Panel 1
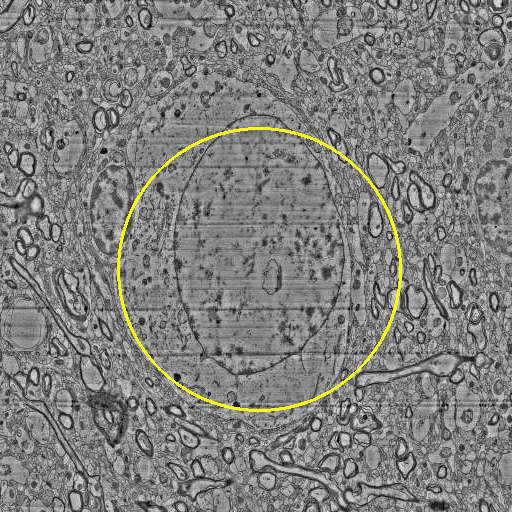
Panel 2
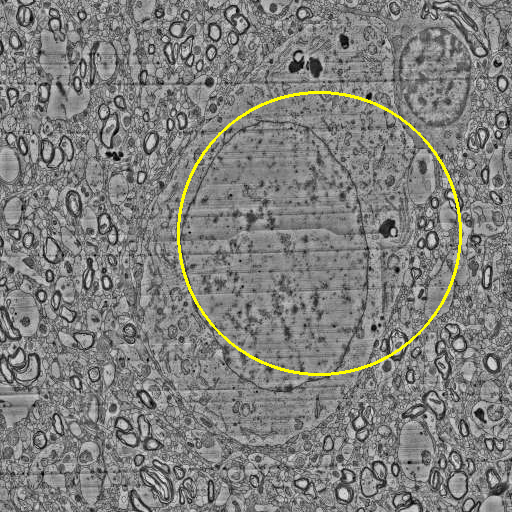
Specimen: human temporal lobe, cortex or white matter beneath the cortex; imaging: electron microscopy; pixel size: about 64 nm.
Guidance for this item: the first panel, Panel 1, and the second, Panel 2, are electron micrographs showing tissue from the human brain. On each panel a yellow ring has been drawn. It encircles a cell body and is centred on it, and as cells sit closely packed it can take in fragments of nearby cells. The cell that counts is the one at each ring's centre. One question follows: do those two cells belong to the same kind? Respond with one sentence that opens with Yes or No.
Yes, the cells at the ring centres in Panel 1 and Panel 2 are of one kind.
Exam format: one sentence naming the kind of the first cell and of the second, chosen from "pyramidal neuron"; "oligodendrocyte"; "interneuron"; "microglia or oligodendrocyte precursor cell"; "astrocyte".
In both pictures the ring is centred on a pyramidal neuron.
